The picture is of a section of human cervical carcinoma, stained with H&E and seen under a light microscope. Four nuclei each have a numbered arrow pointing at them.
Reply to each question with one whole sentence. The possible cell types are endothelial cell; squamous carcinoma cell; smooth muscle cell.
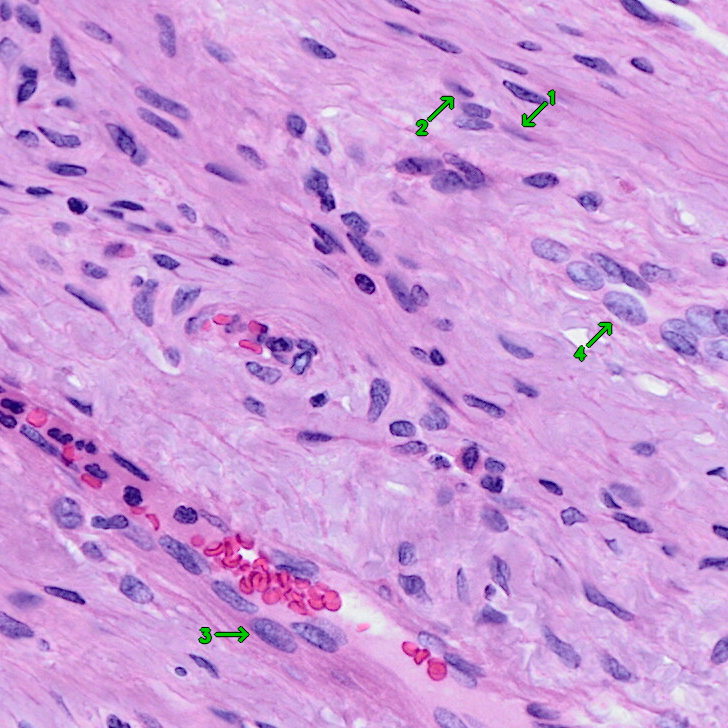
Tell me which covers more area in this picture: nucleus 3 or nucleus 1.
Nucleus 3 covers more area, about 4 times as much as nucleus 1.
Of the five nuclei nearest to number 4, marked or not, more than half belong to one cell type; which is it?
The majority of the five nuclei closest to number 4 belong to endothelial cells.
